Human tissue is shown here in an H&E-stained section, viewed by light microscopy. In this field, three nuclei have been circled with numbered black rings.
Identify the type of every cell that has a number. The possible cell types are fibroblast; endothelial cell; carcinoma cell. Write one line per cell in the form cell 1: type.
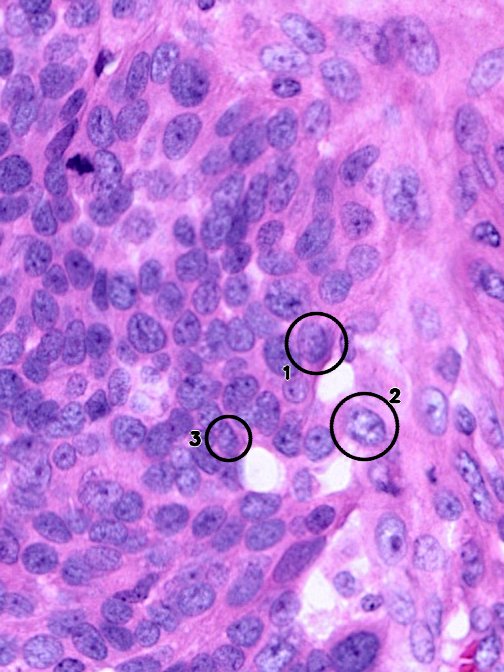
cell 1: carcinoma cell
cell 2: fibroblast
cell 3: carcinoma cell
